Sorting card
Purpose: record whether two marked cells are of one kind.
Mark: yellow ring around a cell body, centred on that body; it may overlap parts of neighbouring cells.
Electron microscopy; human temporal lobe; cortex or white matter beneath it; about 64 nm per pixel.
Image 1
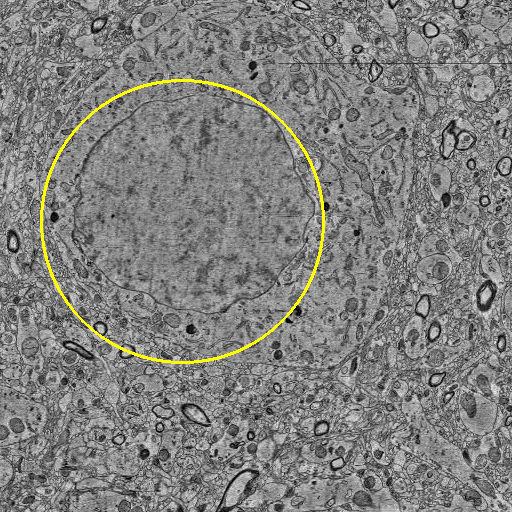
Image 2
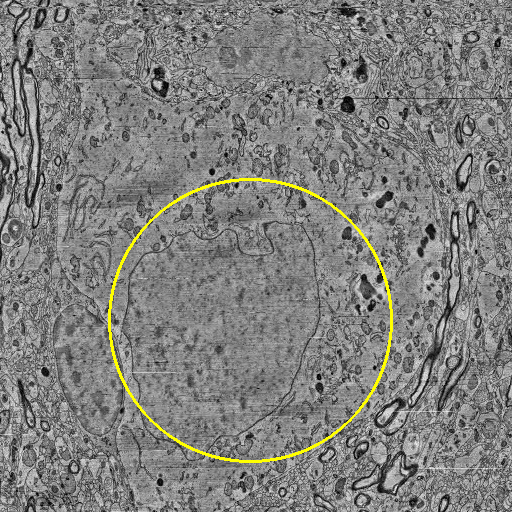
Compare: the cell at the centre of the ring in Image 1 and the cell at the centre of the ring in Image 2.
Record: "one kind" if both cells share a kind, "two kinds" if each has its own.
one kind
